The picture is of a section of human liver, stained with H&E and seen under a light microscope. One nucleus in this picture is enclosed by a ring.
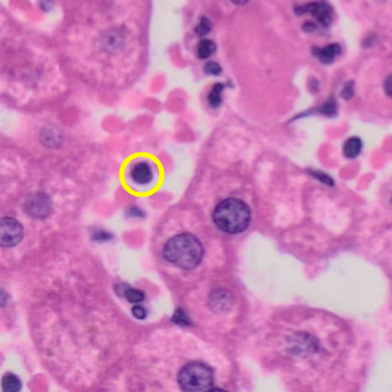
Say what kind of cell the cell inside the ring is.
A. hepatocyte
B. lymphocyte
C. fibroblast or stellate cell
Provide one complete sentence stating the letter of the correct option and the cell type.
Option B correctly labels the cell inside the ring as a lymphocyte.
